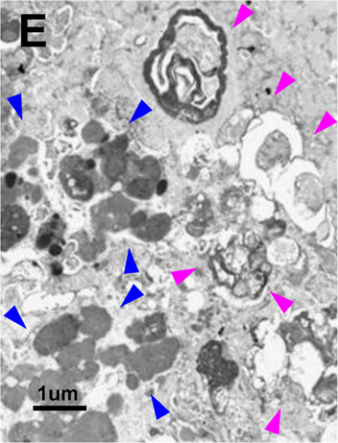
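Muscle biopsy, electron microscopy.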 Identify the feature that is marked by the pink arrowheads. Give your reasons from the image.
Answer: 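Autophagic vacuoles. The pink arrowheads point to pale vacuoles containing membranous whorls and debris. Some of these contain concentric lamellar material.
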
